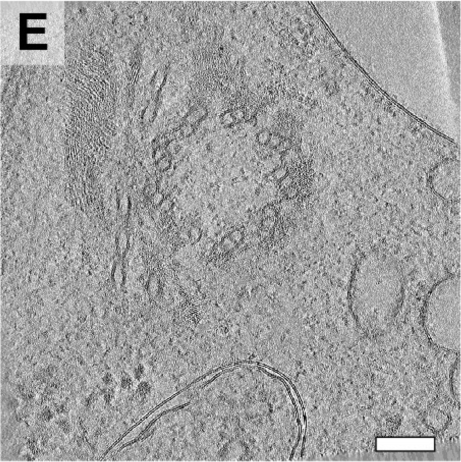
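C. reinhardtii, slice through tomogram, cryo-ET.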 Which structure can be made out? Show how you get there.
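A ring of nine grouped microtubule units seen in cross-section.
Basal body.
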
